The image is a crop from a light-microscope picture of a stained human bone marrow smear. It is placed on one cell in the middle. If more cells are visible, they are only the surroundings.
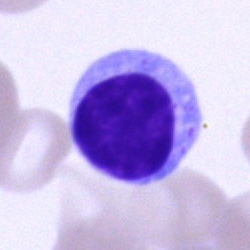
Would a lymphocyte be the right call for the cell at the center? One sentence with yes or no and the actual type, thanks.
Yes, a lymphocyte is what the central cell is.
